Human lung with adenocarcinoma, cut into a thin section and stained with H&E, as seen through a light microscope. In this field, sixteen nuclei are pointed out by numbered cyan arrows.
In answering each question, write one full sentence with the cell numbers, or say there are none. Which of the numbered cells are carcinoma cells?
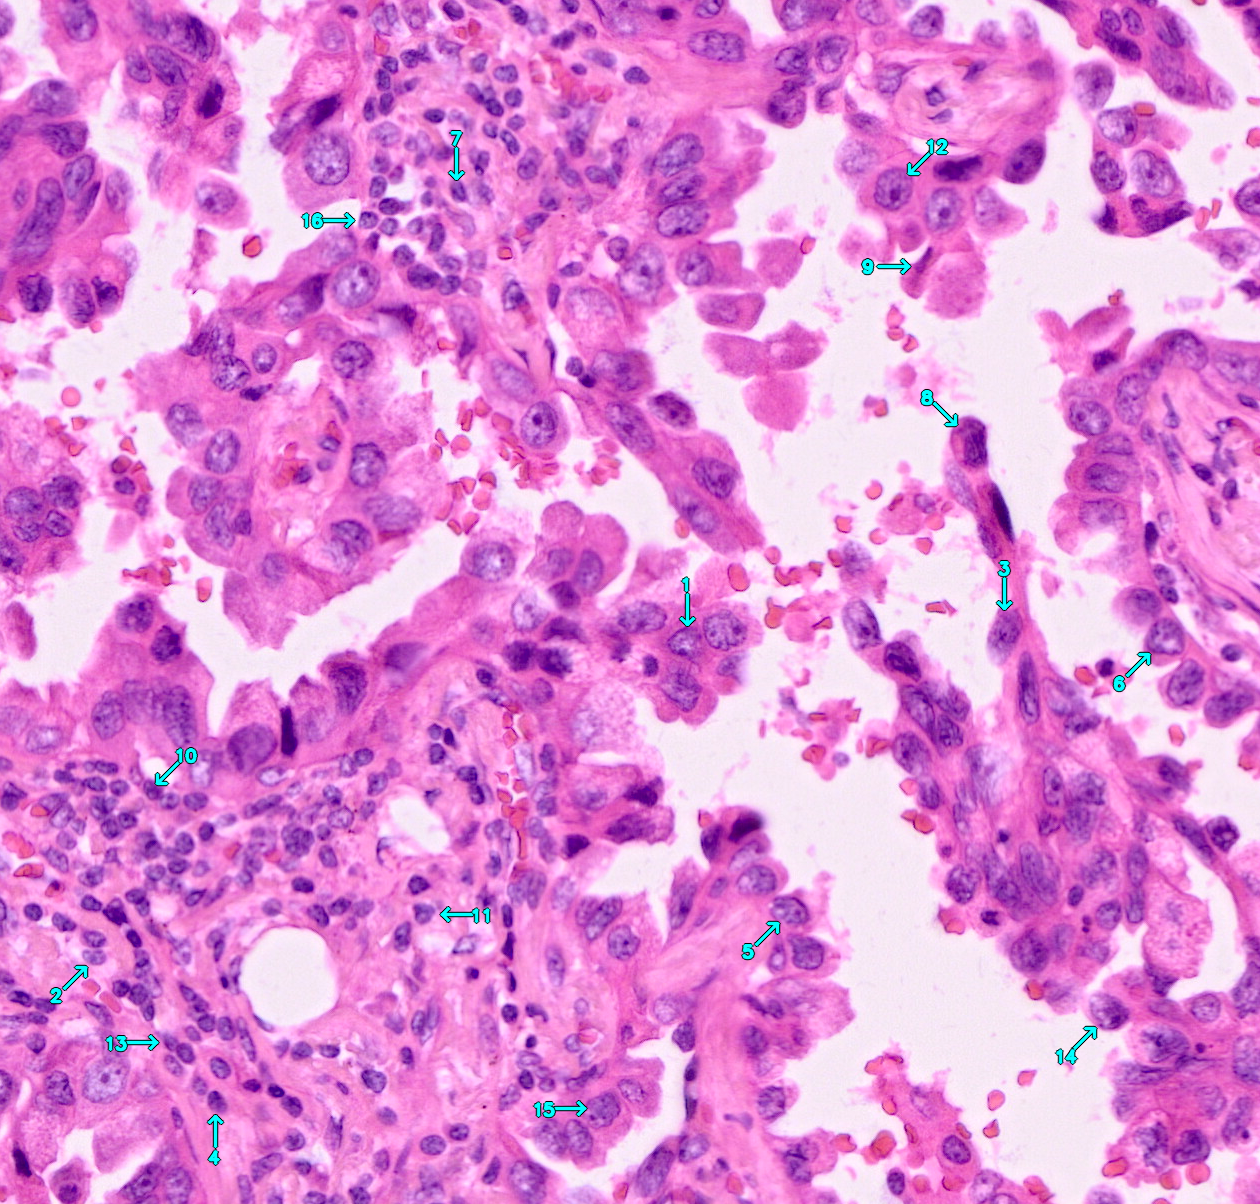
The numbers 1, 3, 5, 6, 8, 9, 12, 14 and 15 in this section indicate carcinoma cells.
